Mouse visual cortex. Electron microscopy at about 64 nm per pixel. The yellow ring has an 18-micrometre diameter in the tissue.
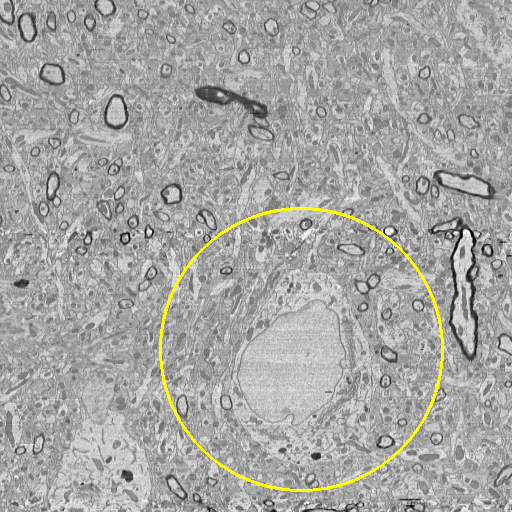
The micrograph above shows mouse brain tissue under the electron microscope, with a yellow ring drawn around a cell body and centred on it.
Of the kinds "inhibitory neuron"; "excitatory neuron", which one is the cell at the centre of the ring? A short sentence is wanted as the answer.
The one at the centre of the ring is an inhibitory neuron.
